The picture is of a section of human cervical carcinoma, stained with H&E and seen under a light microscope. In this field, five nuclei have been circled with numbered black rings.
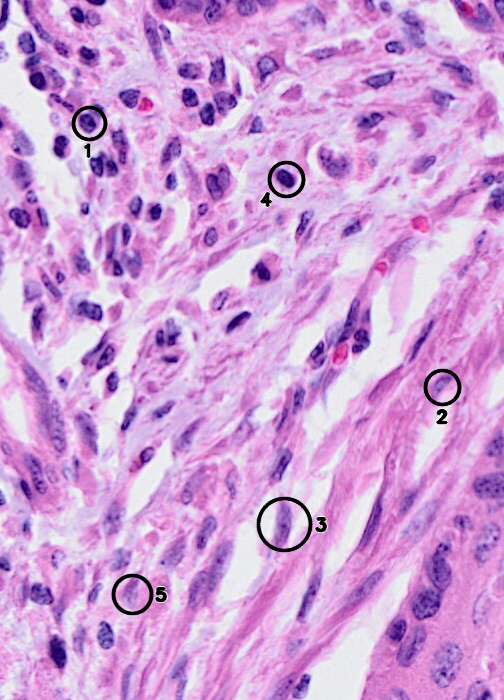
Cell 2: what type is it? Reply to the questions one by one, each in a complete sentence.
The cell that is numbered 2 is a fibroblast.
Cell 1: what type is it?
The mark numbered 1 indicates the nucleus of a lymphocyte.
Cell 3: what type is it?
Heads up, the cell numbered 3 is a fibroblast.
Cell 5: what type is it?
Denoted by the label 5 in the section is a fibroblast.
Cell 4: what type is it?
The cell that is numbered 4 is a lymphocyte.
